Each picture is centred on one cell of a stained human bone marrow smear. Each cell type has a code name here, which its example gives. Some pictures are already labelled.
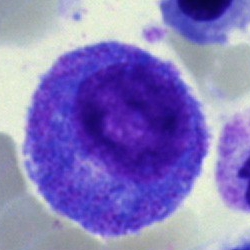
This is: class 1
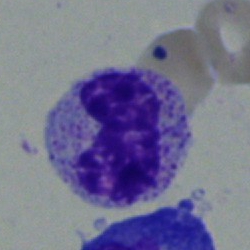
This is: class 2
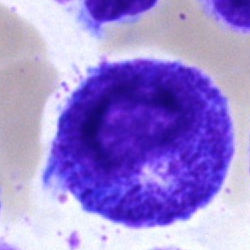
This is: class 1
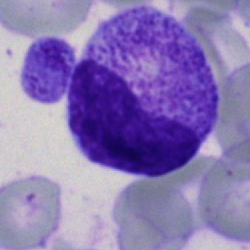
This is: class 2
